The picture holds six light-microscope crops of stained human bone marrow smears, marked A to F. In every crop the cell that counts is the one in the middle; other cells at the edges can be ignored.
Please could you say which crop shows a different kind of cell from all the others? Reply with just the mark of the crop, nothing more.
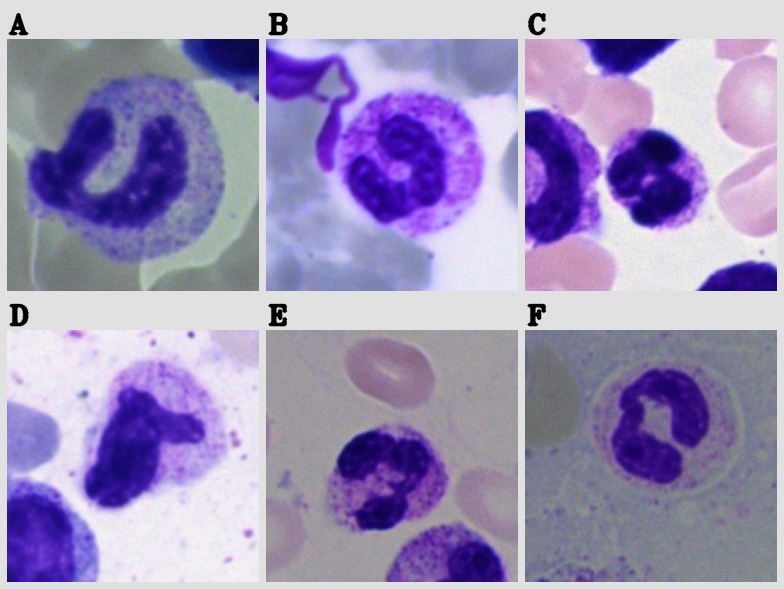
B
